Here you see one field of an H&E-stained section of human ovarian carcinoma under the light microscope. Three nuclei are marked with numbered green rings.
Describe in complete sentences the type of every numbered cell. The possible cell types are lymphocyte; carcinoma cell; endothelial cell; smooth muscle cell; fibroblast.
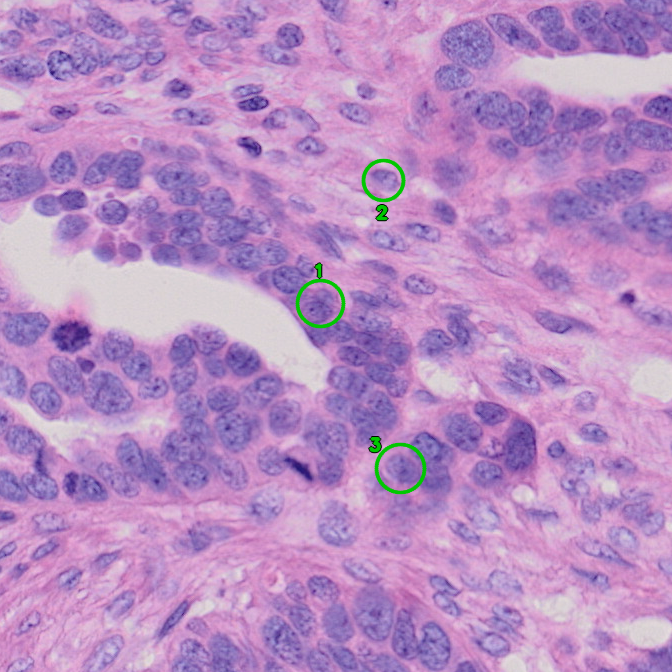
Cell 1 is a carcinoma cell, cell 2 is a fibroblast and cell 3 is a carcinoma cell.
